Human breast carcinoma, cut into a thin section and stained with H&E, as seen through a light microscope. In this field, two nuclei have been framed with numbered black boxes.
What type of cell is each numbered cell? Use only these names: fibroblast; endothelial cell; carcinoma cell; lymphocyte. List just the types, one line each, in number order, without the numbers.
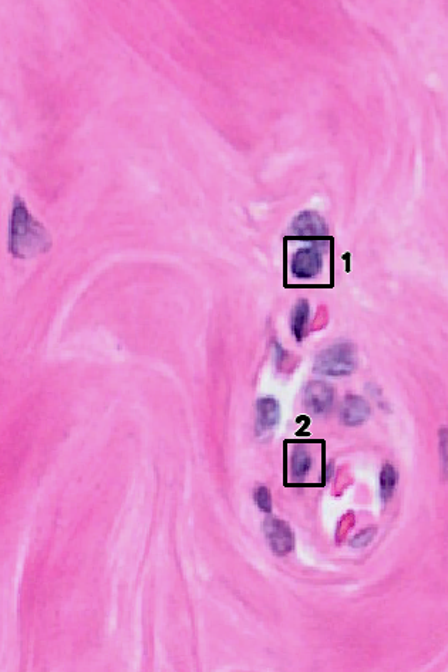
lymphocyte
endothelial cell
